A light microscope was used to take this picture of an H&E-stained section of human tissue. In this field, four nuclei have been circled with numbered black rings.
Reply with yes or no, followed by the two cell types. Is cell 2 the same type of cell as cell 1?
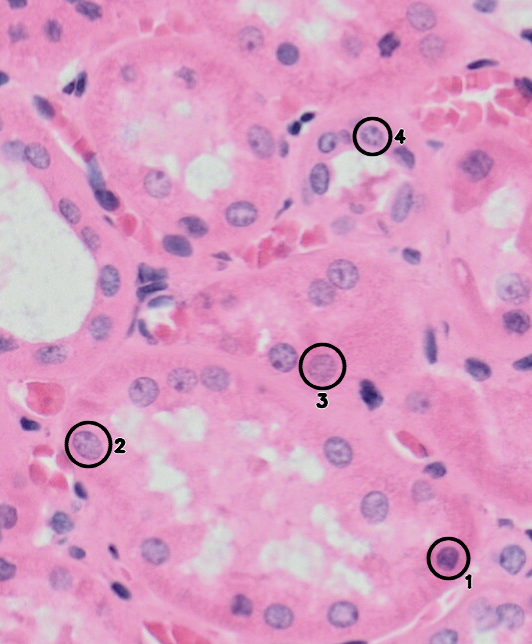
Yes, with respect to identity, cells 2 and 1 are both proximal tubule cells.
